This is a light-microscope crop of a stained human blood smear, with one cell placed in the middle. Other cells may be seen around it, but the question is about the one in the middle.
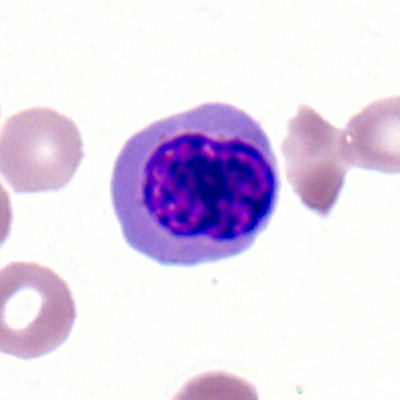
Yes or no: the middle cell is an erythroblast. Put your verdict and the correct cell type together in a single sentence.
Yes, the cell in the centre is an erythroblast.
